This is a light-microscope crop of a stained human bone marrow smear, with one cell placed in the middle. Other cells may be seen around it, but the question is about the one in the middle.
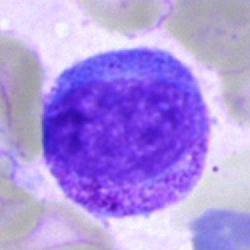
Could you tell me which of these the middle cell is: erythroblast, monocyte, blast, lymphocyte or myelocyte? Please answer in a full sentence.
For this crop, the central cell is a myelocyte.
